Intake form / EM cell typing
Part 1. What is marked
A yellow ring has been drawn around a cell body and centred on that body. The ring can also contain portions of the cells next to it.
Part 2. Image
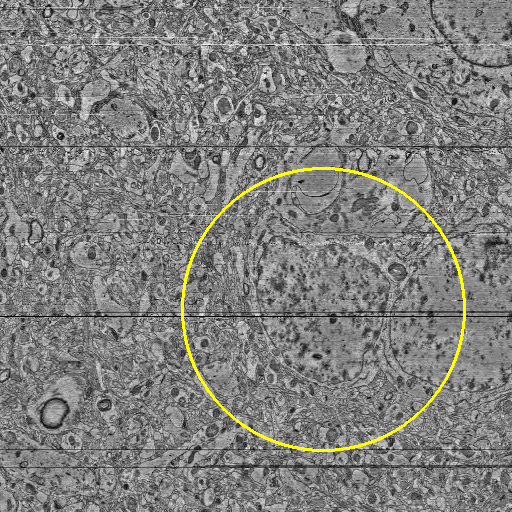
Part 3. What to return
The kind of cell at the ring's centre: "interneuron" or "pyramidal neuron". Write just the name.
interneuron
